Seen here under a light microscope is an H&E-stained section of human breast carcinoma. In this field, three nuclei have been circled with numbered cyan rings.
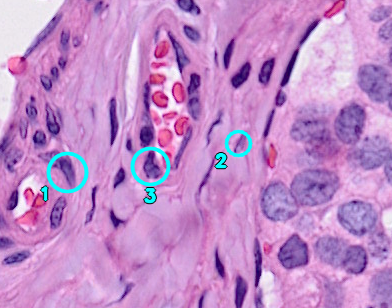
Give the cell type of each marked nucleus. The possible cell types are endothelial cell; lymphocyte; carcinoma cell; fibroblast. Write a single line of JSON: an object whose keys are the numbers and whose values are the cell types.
{"1": "endothelial cell", "2": "fibroblast", "3": "endothelial cell"}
